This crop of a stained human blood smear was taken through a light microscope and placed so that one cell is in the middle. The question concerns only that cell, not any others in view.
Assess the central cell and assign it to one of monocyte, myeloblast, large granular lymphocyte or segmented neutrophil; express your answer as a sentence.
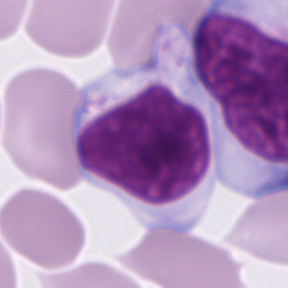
The cell around which this crop is centred is a large granular lymphocyte.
